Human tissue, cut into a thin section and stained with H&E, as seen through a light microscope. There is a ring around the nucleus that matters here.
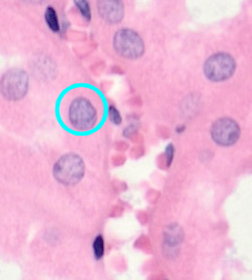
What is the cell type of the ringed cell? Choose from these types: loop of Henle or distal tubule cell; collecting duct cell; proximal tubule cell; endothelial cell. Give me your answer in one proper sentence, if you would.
Within this tissue, the ringed cell is a proximal tubule cell.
